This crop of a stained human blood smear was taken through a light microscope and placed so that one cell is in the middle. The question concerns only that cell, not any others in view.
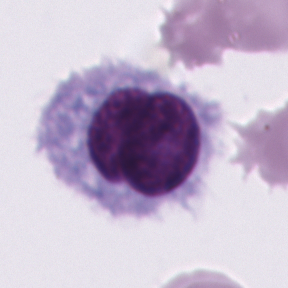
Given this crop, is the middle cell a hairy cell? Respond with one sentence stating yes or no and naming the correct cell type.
Yes, the cell found in the center of the crop is a hairy cell.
